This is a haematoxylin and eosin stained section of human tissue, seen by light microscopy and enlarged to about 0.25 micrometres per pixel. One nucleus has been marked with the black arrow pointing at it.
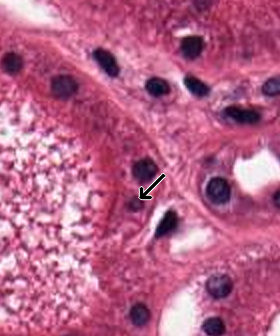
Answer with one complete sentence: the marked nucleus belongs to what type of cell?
The marked nucleus is one that belongs to a proximal tubule cell.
